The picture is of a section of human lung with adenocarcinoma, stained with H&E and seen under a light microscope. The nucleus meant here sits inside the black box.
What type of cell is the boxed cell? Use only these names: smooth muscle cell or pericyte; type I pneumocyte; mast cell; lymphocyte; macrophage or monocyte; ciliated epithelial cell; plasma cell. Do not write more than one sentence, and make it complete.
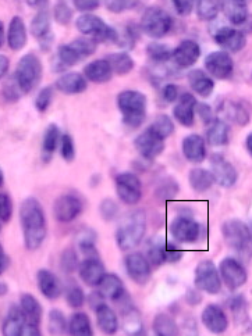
Students should answer that the boxed cell is a lymphocyte.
